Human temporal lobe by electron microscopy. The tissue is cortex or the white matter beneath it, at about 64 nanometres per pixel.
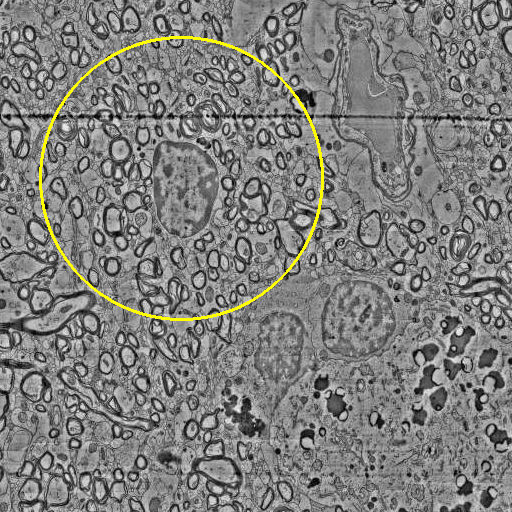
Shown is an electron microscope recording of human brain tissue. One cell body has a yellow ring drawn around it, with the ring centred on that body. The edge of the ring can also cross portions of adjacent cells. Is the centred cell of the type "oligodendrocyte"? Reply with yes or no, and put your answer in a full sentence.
No, in the picture, the cell on which the ring is centred has a different type.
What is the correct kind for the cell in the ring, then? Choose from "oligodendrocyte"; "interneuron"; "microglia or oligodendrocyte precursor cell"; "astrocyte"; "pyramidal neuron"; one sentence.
Instead, the picture shows a microglial cell or oligodendrocyte precursor cell at the centre of the ring.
